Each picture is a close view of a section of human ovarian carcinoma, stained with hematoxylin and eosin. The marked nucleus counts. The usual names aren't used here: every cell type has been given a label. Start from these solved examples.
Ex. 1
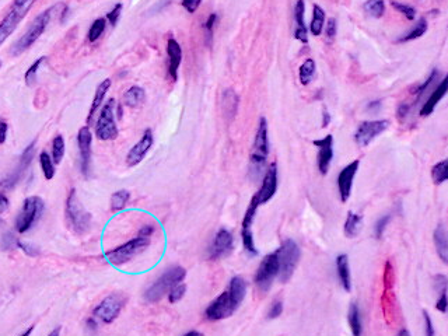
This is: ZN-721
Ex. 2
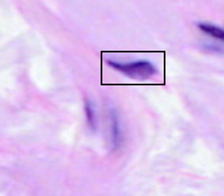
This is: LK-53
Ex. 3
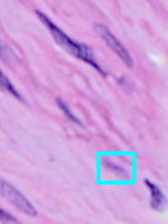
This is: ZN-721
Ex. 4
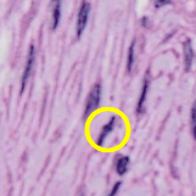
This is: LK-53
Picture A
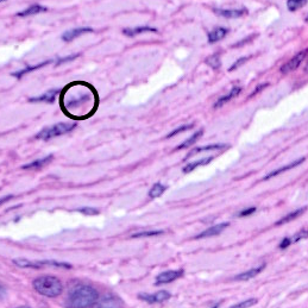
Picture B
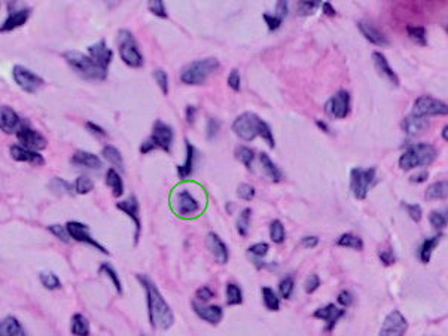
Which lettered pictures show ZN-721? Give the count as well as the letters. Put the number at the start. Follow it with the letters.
1, namely B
